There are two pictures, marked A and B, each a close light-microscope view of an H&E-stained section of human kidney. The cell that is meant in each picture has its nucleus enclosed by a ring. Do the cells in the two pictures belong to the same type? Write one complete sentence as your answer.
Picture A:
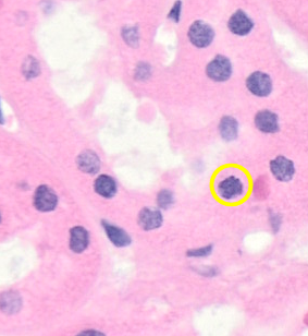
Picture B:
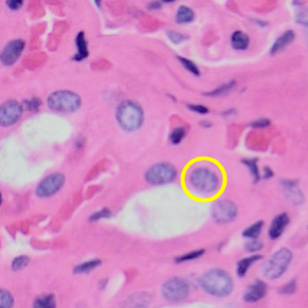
Yes, both cells are “loop of Henle or distal tubule cells”.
